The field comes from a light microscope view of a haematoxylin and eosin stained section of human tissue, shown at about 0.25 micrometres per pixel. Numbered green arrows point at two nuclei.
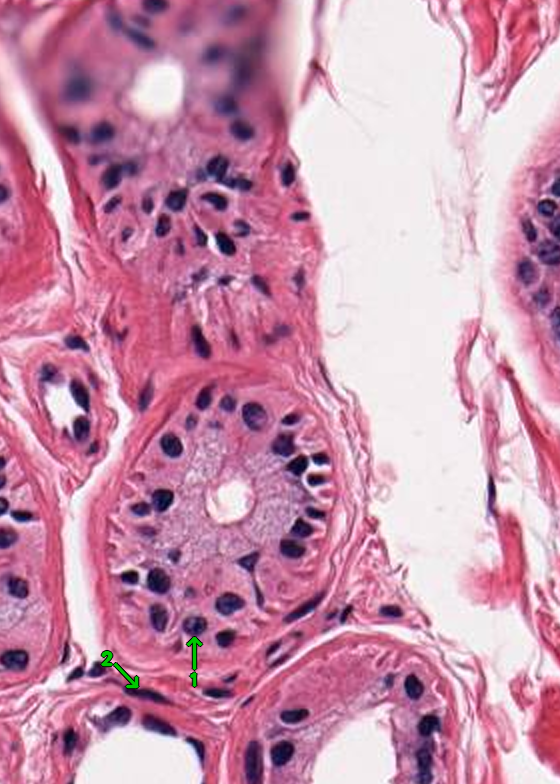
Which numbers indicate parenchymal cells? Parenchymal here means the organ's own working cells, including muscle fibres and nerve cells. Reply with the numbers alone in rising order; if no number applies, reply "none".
1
